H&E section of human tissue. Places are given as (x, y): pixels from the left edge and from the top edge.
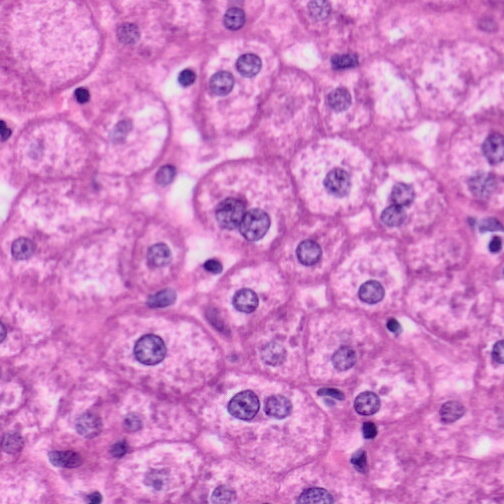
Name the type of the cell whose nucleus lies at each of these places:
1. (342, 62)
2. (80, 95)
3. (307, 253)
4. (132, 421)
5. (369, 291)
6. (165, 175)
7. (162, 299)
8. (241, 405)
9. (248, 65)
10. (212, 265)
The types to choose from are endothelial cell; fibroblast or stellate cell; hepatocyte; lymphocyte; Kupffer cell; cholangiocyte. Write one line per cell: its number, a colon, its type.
1: fibroblast or stellate cell
2: lymphocyte
3: hepatocyte
4: hepatocyte
5: hepatocyte
6: Kupffer cell
7: endothelial cell
8: hepatocyte
9: hepatocyte
10: lymphocyte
